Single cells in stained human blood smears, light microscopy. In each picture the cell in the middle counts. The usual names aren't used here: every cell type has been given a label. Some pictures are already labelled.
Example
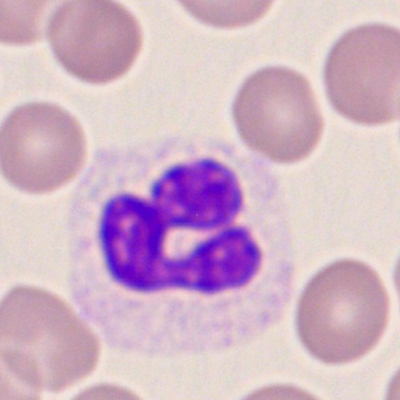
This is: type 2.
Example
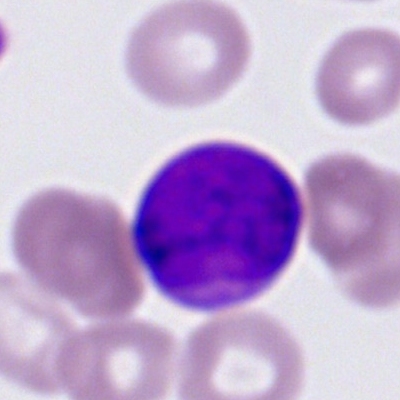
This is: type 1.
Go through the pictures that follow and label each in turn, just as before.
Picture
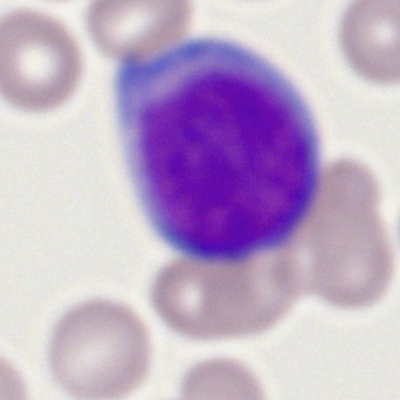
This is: type 1.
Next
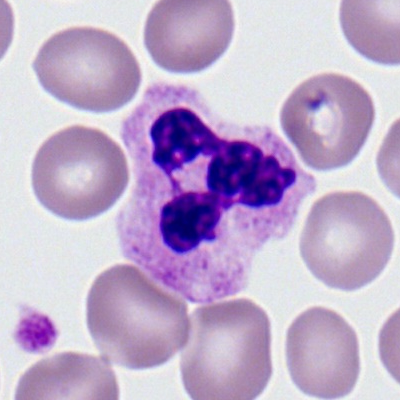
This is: type 2.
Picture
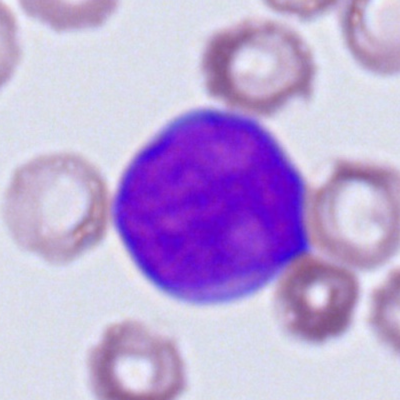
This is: type 1.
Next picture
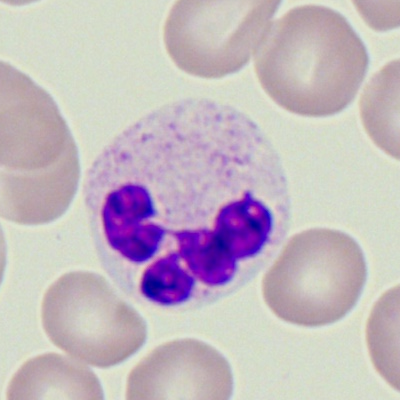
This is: type 2.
